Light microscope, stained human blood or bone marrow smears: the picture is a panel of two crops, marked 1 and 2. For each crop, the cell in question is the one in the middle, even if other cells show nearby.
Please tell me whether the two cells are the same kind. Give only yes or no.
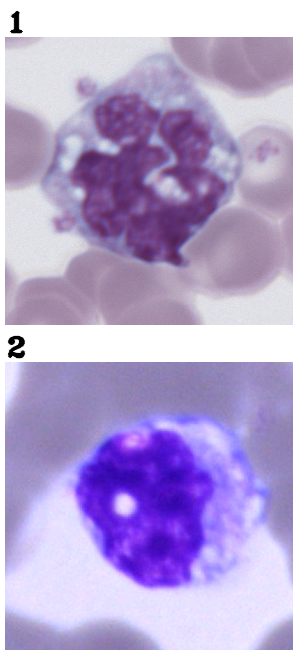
yes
